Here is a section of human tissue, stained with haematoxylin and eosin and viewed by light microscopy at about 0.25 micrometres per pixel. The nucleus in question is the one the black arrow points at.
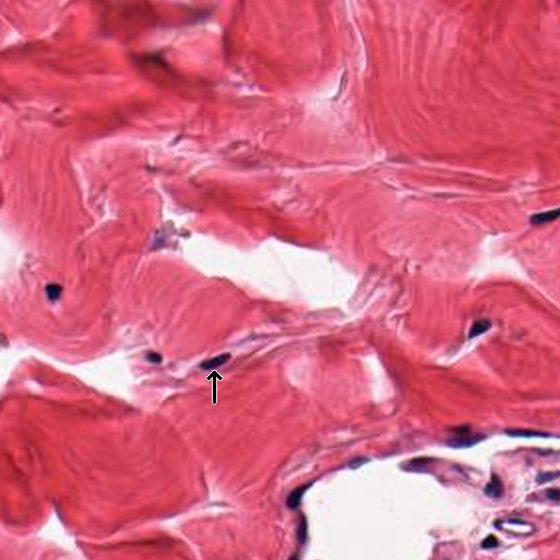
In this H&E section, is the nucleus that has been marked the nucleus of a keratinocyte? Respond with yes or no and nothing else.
no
